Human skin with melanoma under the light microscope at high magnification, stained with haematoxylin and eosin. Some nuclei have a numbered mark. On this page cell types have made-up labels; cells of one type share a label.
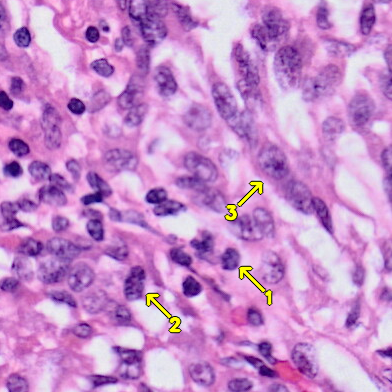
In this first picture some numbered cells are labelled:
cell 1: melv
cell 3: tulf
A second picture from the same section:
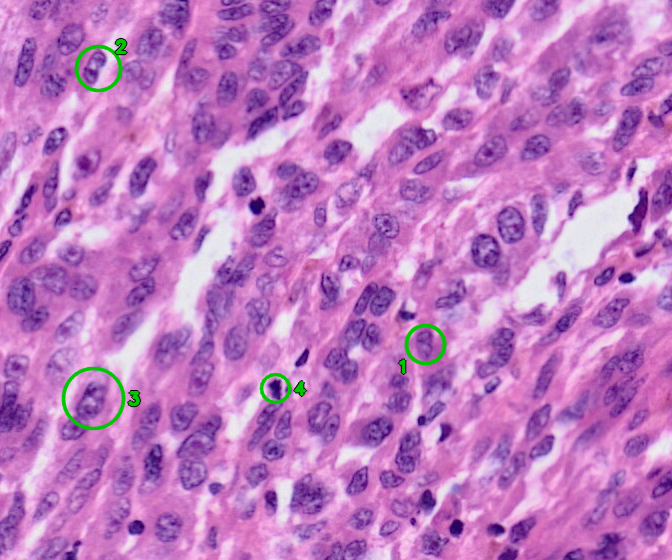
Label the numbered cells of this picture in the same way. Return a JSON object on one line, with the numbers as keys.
{"1": "tulf", "2": "tulf", "3": "tulf", "4": "melv"}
